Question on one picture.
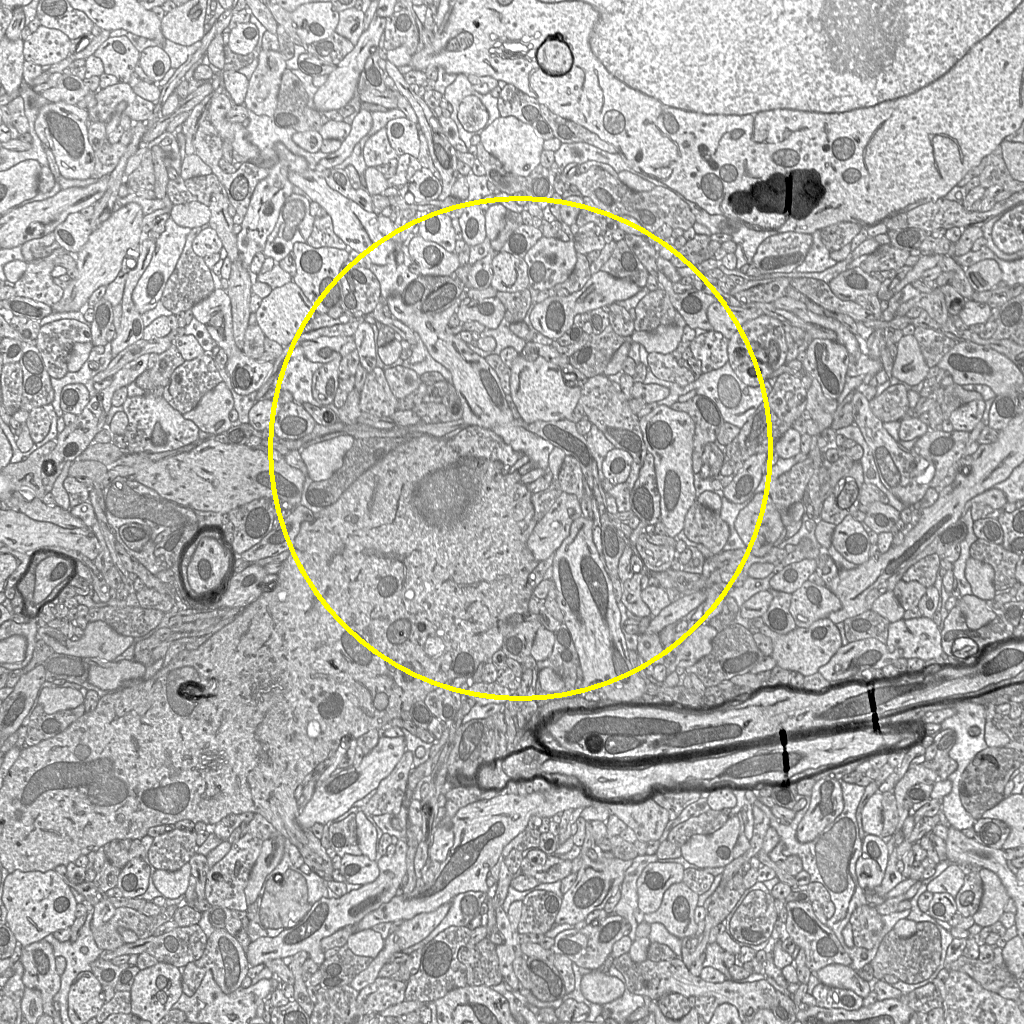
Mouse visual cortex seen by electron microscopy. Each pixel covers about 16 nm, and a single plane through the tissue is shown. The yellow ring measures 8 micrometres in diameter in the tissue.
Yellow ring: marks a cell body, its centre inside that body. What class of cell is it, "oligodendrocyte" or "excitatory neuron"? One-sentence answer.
This is an oligodendrocyte, the cell at the ring's centre.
